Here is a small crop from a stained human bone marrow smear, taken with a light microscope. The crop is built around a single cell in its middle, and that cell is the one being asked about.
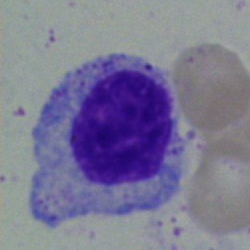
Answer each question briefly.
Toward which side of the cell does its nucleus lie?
upper right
